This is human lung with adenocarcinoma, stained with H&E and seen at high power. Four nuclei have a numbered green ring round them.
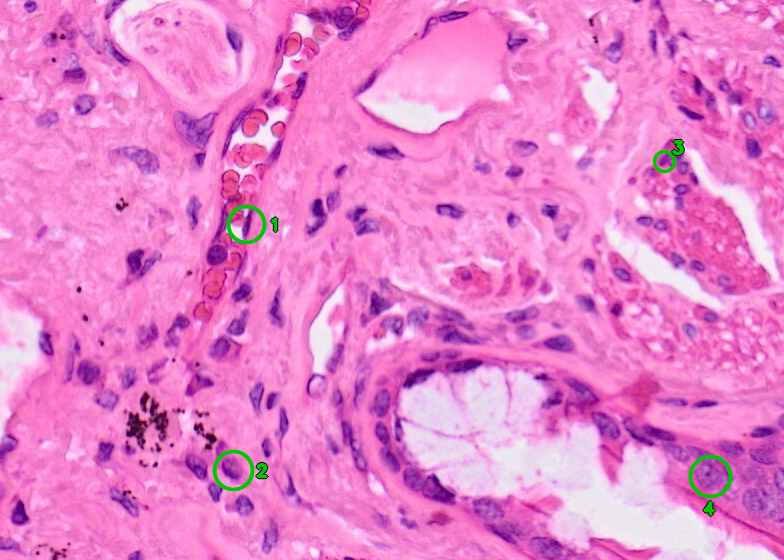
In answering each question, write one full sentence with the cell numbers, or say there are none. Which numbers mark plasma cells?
Only one marked cell, number 2, is a plasma cell.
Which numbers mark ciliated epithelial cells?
Only one choice fits: cell 4 is a ciliated epithelial cell, and no other.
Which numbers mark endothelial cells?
In short, cell 1 is an endothelial cell; the others are not.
